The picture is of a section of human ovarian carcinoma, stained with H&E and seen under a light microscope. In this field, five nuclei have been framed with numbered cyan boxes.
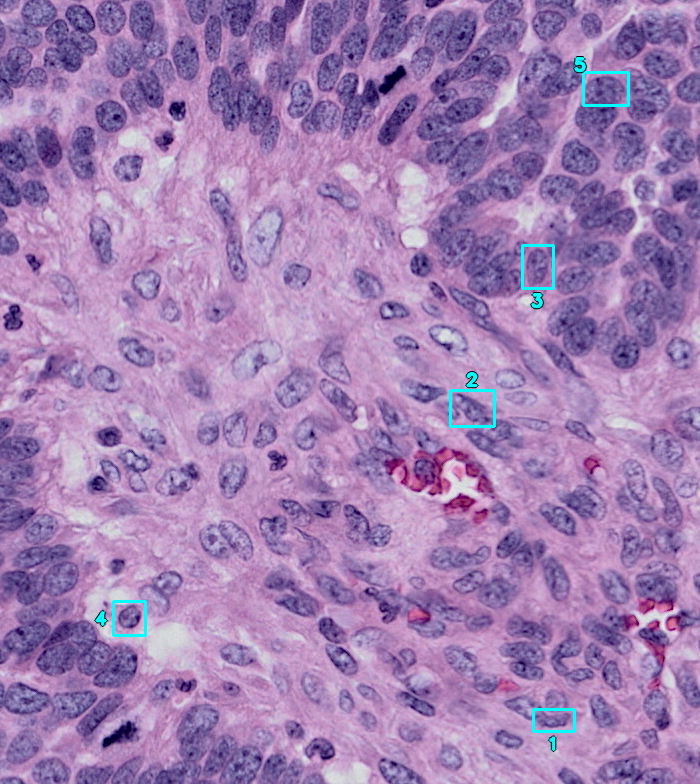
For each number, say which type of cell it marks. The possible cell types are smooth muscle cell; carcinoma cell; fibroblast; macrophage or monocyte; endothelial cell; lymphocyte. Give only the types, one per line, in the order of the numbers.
fibroblast
fibroblast
carcinoma cell
macrophage or monocyte
carcinoma cell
